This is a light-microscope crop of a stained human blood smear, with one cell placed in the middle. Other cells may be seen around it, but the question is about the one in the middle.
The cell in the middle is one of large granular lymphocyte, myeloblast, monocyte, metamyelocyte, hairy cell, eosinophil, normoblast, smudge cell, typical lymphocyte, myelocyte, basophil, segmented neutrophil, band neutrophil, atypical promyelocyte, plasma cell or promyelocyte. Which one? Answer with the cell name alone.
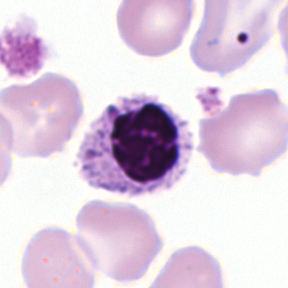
normoblast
